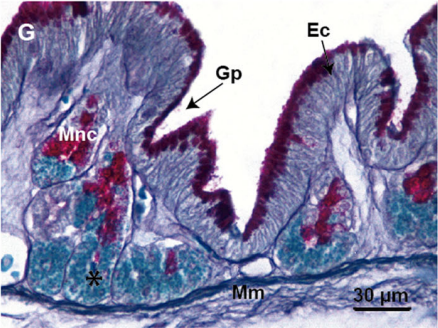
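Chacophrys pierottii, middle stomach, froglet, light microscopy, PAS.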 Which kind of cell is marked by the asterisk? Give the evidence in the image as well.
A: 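Oxynticopeptic cells. The asterisk lies on cells at the base of the glands, next to the underlying muscle layer. These basal cells have granular blue-green cytoplasm.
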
